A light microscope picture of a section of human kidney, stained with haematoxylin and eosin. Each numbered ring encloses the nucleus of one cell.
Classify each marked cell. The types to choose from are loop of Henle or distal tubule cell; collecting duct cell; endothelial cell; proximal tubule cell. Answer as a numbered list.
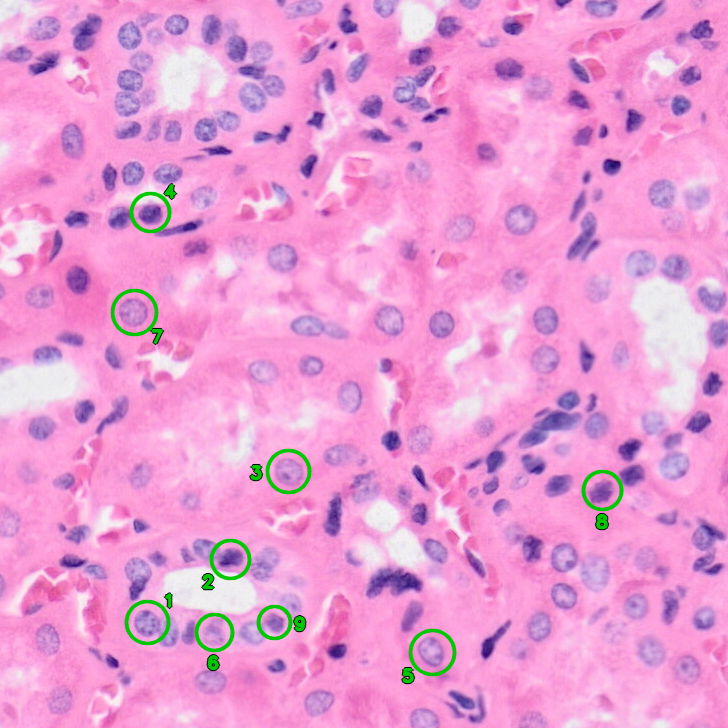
1. collecting duct cell
2. collecting duct cell
3. proximal tubule cell
4. loop of Henle or distal tubule cell
5. proximal tubule cell
6. collecting duct cell
7. proximal tubule cell
8. loop of Henle or distal tubule cell
9. collecting duct cell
